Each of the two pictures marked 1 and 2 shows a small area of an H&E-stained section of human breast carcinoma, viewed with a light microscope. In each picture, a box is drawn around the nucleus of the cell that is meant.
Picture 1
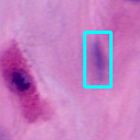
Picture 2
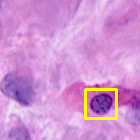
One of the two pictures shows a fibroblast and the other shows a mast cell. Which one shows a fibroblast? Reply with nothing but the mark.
1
